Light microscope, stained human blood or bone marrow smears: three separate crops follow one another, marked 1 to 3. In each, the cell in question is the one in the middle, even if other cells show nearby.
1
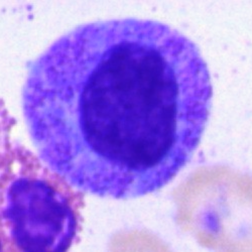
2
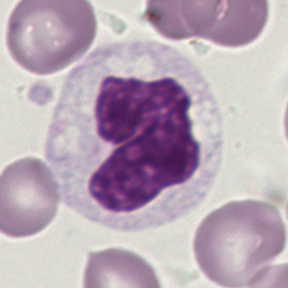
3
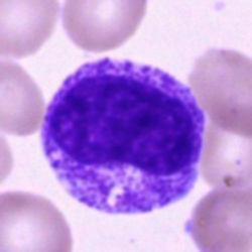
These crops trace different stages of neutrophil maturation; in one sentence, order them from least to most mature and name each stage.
Listed from least to most mature, the crops read crop 1 (a promyelocyte), crop 3 (a myelocyte) and crop 2 (a segmented neutrophil).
